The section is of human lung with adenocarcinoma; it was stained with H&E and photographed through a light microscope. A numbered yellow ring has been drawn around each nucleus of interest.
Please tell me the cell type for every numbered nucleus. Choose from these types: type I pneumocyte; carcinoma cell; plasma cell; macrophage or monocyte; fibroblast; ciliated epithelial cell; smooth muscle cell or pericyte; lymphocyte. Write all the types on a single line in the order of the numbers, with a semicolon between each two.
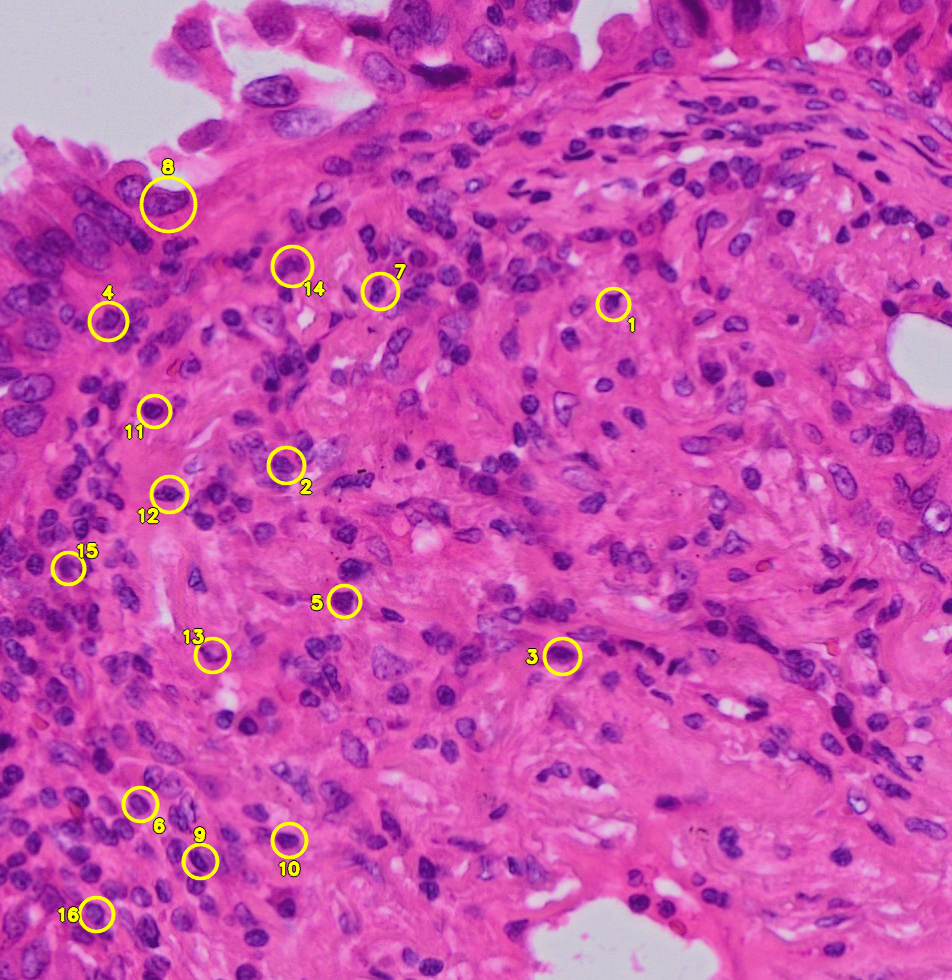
lymphocyte; lymphocyte; plasma cell; lymphocyte; plasma cell; lymphocyte; lymphocyte; carcinoma cell; lymphocyte; lymphocyte; plasma cell; lymphocyte; macrophage or monocyte; plasma cell; plasma cell; lymphocyte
